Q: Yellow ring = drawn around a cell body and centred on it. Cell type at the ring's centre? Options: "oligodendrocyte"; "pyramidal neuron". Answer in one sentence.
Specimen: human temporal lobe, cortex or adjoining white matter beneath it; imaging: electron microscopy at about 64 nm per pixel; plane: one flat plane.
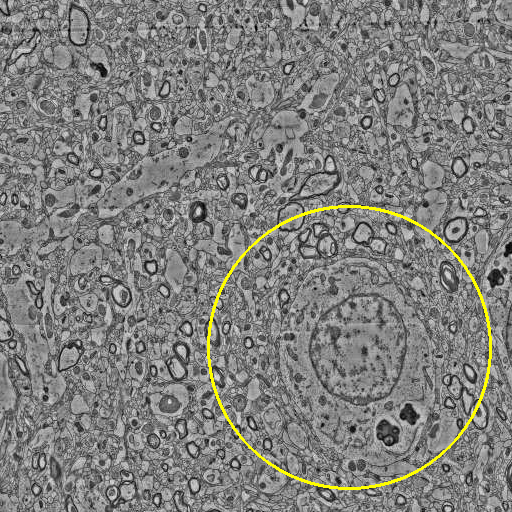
Centred in the ring is a pyramidal neuron.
